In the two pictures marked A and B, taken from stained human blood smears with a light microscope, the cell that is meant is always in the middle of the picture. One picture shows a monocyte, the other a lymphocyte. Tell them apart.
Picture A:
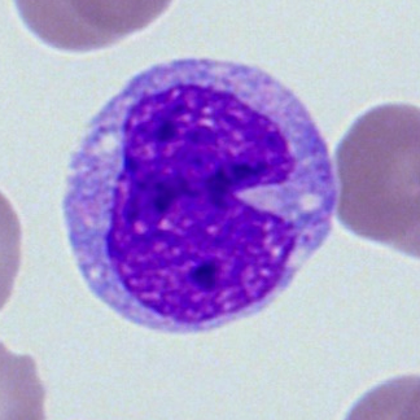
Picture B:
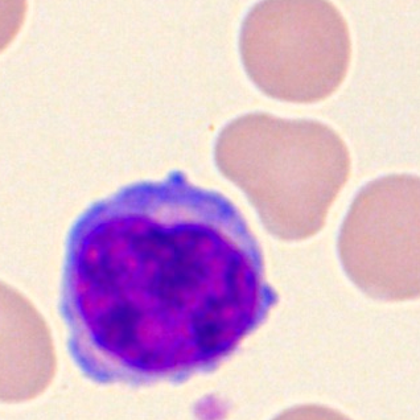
A: monocyte
B: lymphocyte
